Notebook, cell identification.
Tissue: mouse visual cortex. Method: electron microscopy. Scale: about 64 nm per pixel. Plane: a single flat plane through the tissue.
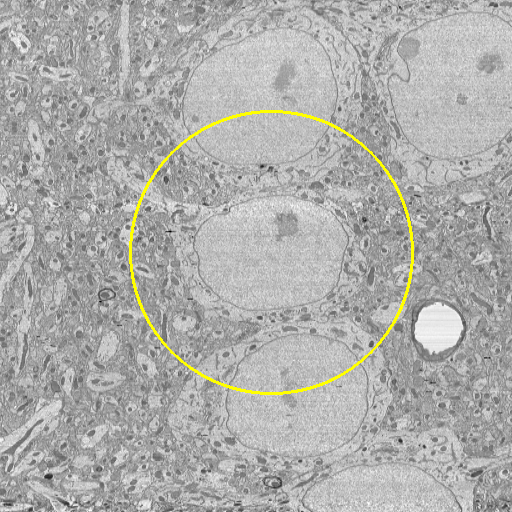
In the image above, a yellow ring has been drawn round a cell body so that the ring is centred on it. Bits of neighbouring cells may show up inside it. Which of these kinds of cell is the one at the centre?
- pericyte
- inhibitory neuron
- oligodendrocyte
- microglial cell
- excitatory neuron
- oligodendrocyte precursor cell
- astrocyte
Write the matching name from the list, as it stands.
excitatory neuron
